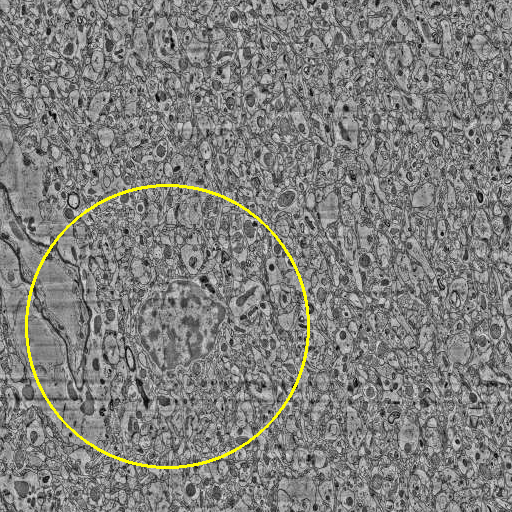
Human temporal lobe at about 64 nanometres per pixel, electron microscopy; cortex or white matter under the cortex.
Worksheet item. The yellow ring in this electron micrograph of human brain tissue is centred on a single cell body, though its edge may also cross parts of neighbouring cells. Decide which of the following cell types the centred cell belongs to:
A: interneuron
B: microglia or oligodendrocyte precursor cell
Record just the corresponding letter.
B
